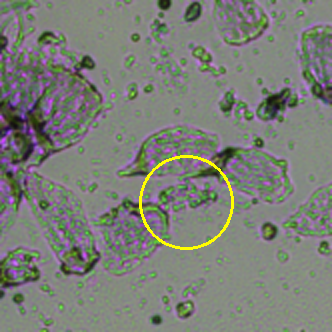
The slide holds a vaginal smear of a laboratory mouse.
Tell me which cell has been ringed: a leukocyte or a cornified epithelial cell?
It is a cornified epithelial cell.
